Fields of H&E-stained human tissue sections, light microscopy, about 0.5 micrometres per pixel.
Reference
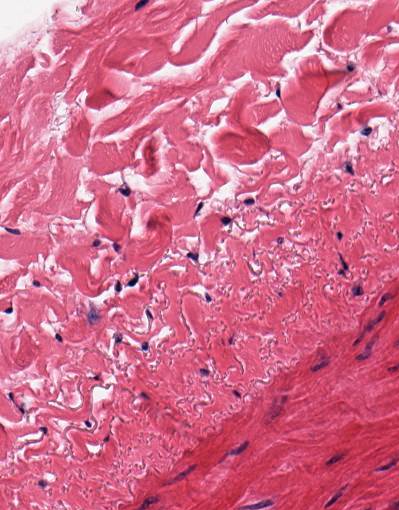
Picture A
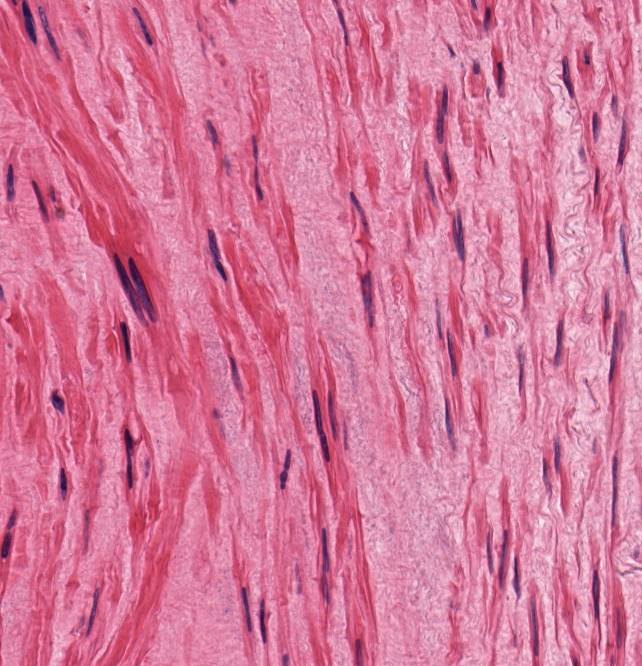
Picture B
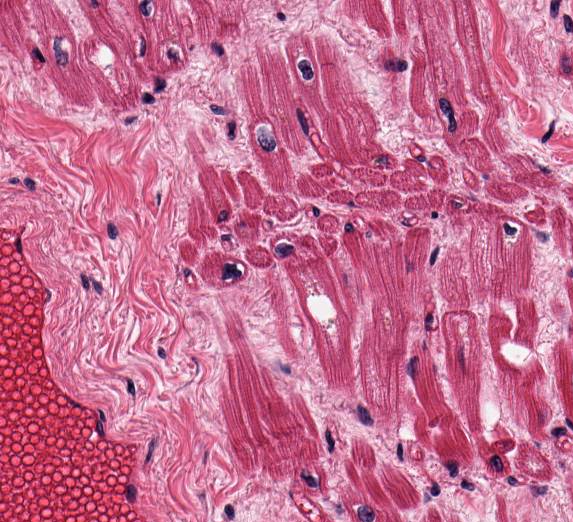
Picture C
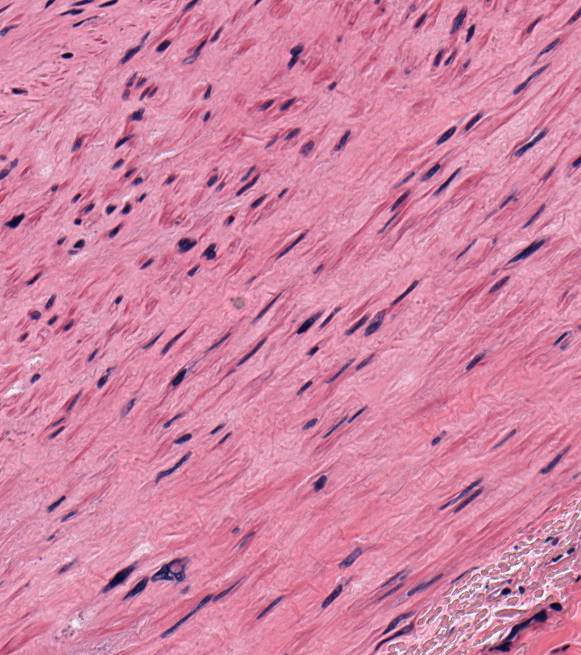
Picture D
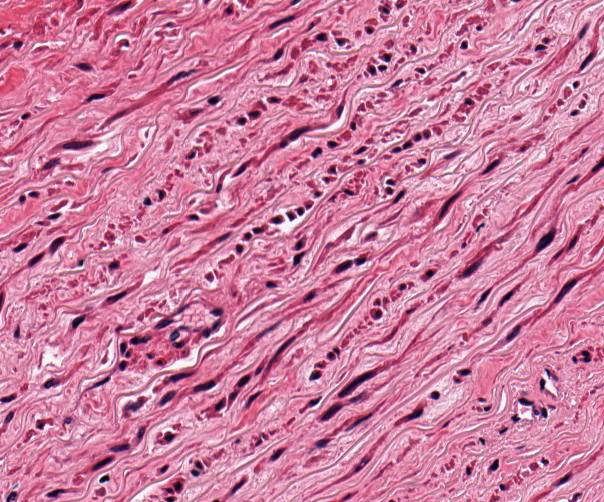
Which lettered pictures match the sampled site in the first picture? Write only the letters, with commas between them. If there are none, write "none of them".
A, C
